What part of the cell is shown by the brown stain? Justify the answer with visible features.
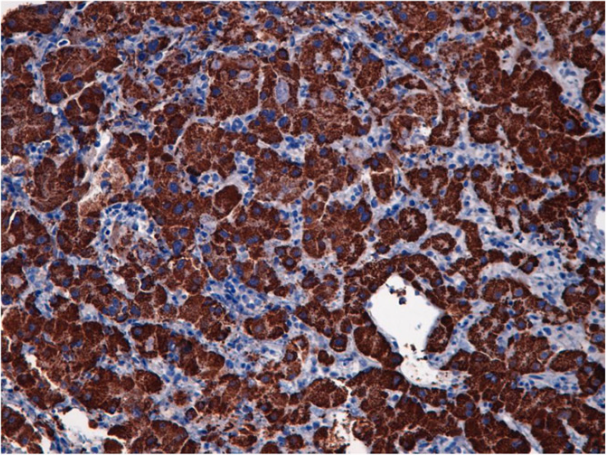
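Cytoplasmic. Brown granular stain fills the cytoplasm of the large polygonal cells. Nuclei stay blue and unstained. Stroma between the cell cords is unstained.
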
